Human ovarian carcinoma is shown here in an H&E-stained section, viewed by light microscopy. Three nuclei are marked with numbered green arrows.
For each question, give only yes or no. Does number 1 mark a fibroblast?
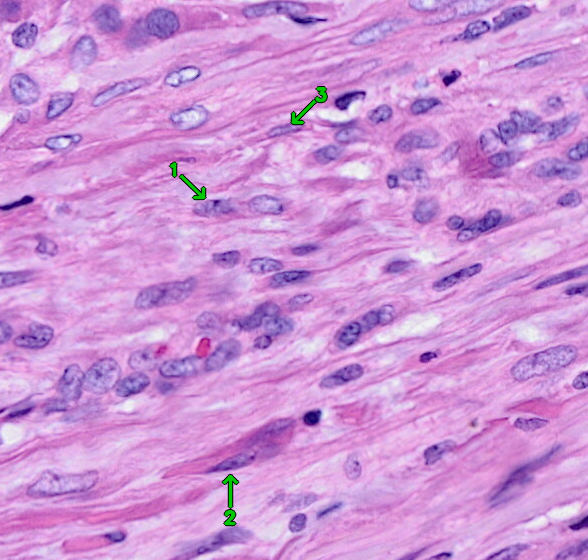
yes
